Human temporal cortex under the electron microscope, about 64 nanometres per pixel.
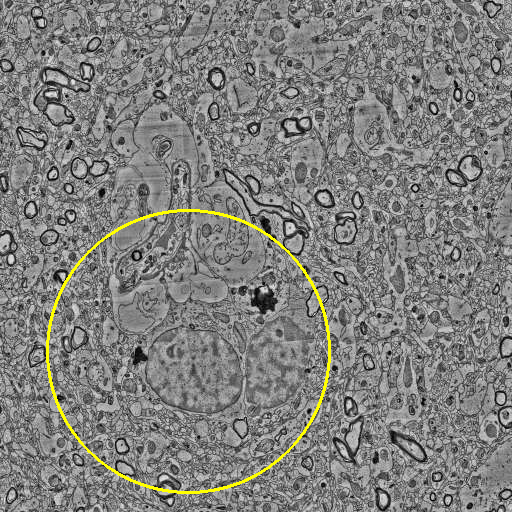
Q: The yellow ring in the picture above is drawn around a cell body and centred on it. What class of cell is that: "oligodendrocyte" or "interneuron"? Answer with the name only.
oligodendrocyte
